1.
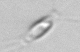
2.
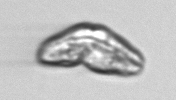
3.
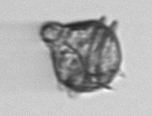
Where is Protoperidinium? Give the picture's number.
3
